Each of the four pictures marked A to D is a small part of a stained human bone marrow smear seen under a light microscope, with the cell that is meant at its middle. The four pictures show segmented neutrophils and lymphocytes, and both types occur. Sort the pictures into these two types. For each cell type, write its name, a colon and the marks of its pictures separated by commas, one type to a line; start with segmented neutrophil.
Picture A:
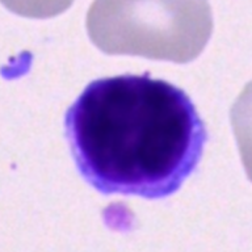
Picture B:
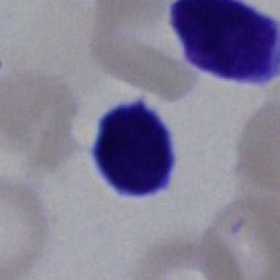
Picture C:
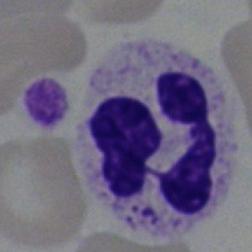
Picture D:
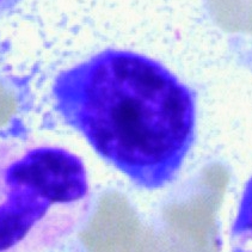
segmented neutrophil: C
lymphocyte: A, B, D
